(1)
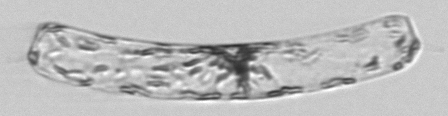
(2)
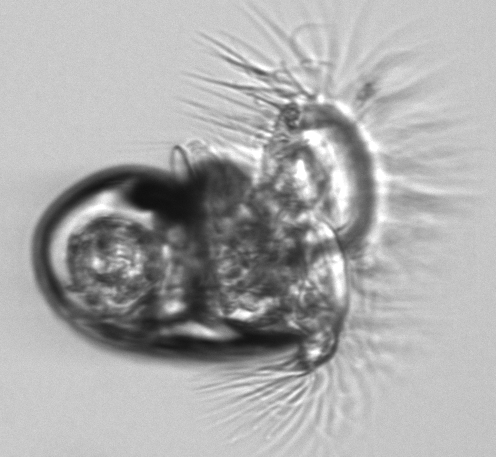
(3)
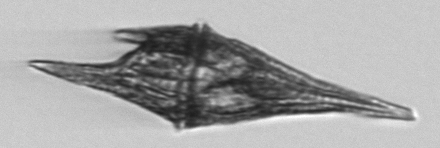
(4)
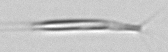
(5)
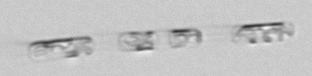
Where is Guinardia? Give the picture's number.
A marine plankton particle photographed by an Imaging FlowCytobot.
1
